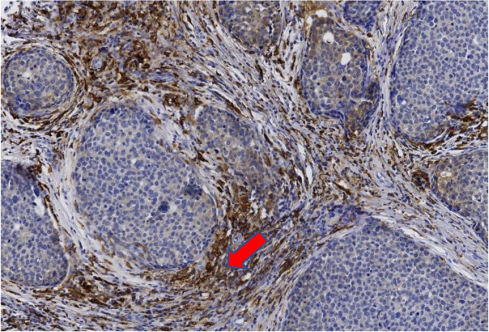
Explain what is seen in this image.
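Large rounded nests of tumor cells with blue nuclei and pale cytoplasm are separated by bands of fibrous stroma. Within and around these bands, numerous irregular brown-stained cells crowd densely, forming thick cuffs that hug the edges of the nests, while the tumor cells themselves remain largely blue.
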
